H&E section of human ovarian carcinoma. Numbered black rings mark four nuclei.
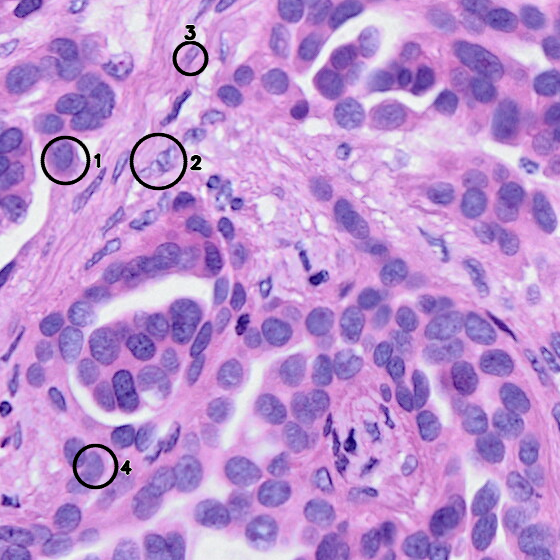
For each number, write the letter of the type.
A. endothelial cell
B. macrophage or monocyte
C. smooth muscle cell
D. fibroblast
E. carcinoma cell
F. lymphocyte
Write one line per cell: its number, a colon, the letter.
1: E
2: D
3: D
4: E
